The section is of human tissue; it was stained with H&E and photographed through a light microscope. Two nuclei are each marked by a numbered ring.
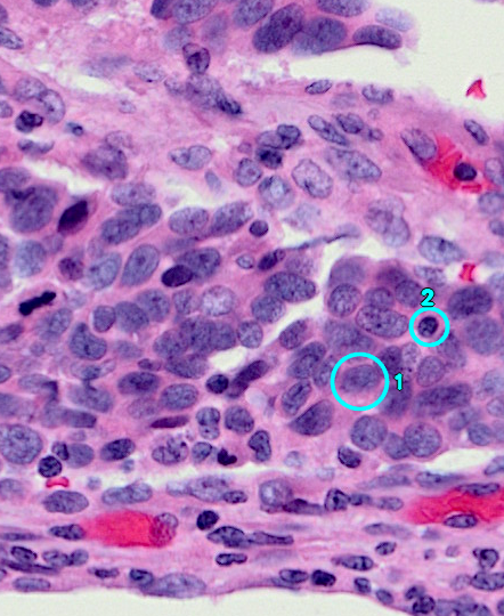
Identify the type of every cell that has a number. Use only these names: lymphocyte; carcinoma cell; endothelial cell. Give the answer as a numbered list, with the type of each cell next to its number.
1. carcinoma cell
2. lymphocyte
